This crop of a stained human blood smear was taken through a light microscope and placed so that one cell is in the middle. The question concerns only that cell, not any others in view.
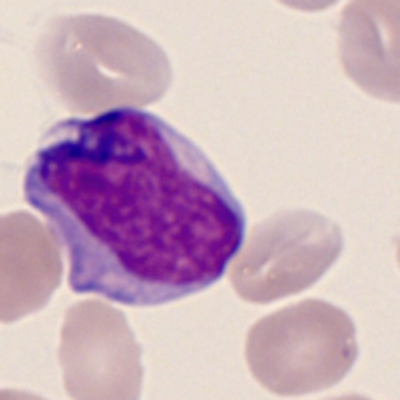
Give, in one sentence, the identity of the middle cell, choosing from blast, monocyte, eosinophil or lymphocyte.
By type, the central cell of the crop is a blast.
